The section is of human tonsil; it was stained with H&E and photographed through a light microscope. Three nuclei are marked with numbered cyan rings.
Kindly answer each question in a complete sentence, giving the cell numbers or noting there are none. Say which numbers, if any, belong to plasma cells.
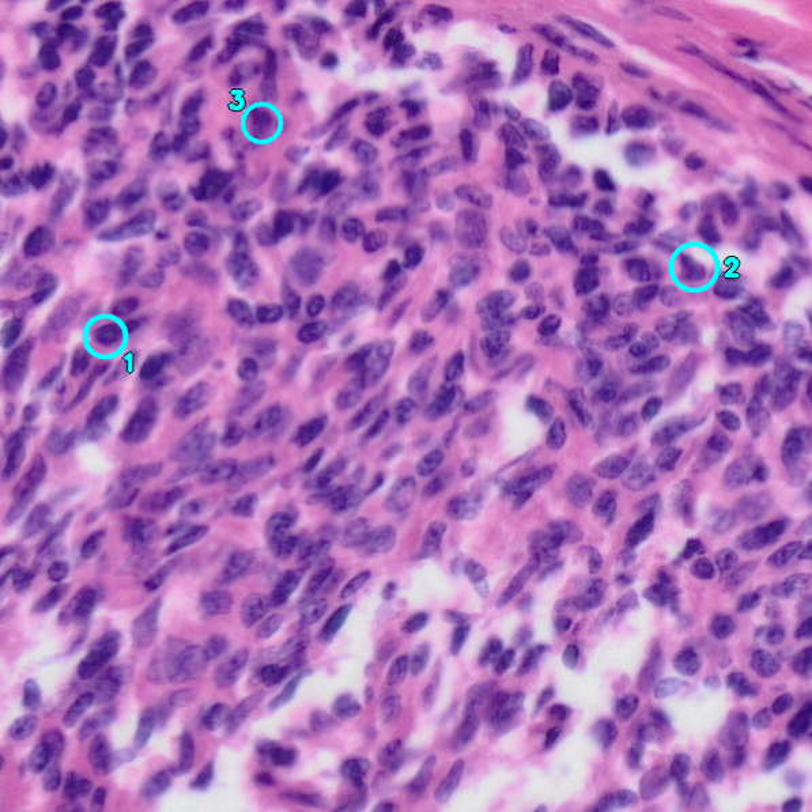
Cell 1 stands alone among the numbered cells as a plasma cell.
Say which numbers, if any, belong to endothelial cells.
Unlike the other numbered cells, cell 3 is an endothelial cell.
